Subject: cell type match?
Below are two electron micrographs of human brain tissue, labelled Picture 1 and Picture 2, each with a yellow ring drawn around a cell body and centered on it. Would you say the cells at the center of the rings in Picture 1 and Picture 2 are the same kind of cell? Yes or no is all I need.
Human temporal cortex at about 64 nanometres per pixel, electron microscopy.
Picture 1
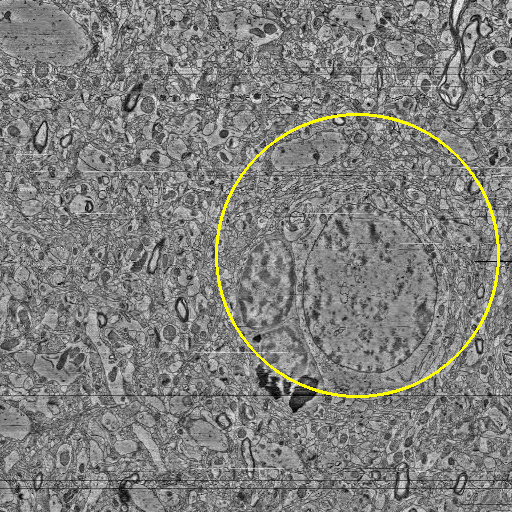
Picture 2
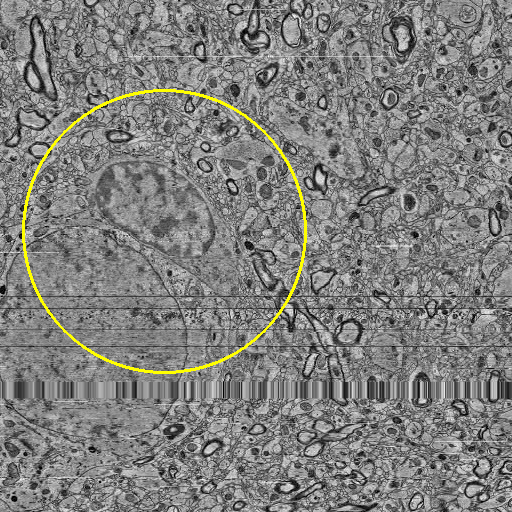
no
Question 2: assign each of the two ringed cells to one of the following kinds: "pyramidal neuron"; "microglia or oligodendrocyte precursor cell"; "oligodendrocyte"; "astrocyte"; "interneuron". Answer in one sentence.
The two cells are a pyramidal neuron in the first picture and an oligodendrocyte in the second.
